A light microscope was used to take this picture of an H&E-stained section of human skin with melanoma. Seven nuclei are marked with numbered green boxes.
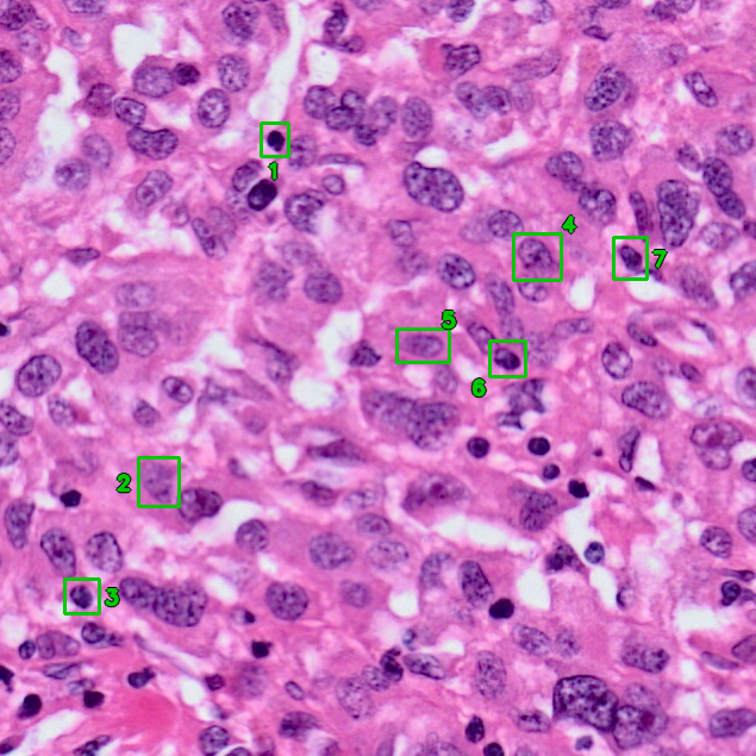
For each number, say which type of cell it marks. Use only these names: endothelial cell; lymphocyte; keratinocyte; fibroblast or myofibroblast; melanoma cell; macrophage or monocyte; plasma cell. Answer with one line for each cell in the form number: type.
1: lymphocyte
2: melanoma cell
3: lymphocyte
4: melanoma cell
5: melanoma cell
6: lymphocyte
7: lymphocyte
